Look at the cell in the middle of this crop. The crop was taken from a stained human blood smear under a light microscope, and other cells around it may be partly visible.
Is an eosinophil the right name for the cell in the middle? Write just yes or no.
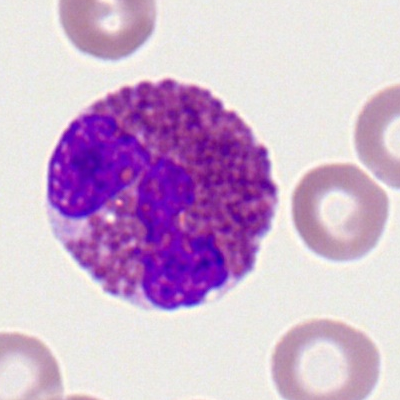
yes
